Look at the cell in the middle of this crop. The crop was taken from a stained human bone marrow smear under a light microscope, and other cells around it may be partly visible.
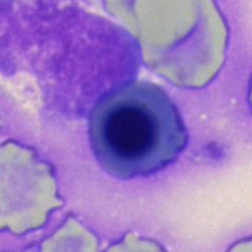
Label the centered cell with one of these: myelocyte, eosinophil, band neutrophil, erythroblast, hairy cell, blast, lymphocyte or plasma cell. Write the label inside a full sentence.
At the middle of the frame sits an erythroblast.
